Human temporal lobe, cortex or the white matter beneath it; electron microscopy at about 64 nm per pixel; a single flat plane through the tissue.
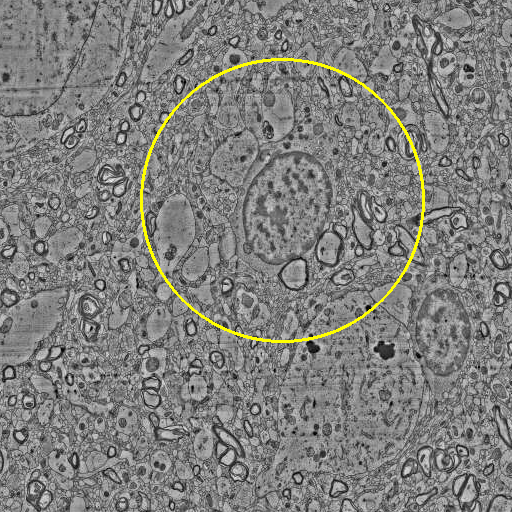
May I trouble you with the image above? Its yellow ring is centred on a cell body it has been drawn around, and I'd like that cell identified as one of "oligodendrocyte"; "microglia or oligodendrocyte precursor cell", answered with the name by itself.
oligodendrocyte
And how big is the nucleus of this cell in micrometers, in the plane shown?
The nucleus appears roughly 7 by 5 micrometres in this plane.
